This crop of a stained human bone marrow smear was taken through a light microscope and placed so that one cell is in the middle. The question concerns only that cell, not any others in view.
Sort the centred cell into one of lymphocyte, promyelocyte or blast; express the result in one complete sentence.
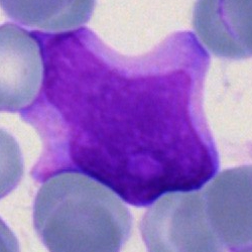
Centred in the crop is a blast.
